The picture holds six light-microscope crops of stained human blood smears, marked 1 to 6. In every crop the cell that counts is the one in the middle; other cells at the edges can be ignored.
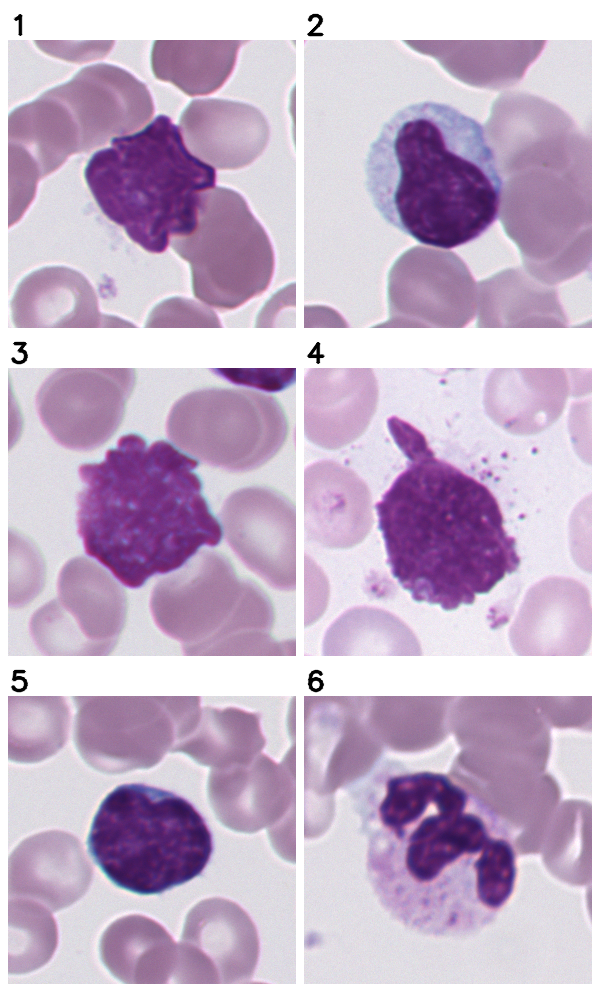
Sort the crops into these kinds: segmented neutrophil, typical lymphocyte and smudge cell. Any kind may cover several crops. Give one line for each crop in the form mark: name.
1: smudge cell
2: typical lymphocyte
3: smudge cell
4: smudge cell
5: typical lymphocyte
6: segmented neutrophil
